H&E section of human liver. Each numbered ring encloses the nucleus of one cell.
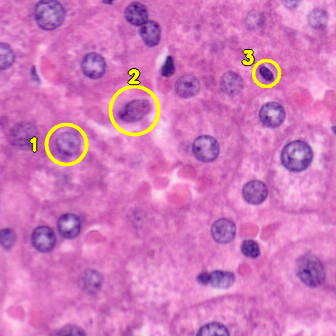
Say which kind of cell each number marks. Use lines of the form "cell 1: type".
cell 1: hepatocyte
cell 2: Kupffer cell
cell 3: fibroblast or stellate cell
